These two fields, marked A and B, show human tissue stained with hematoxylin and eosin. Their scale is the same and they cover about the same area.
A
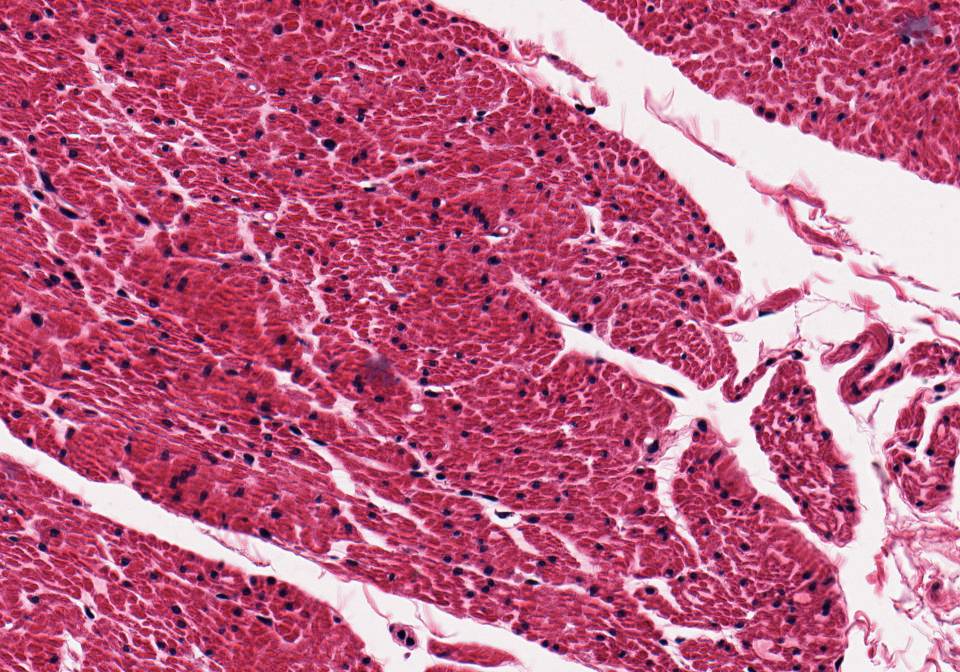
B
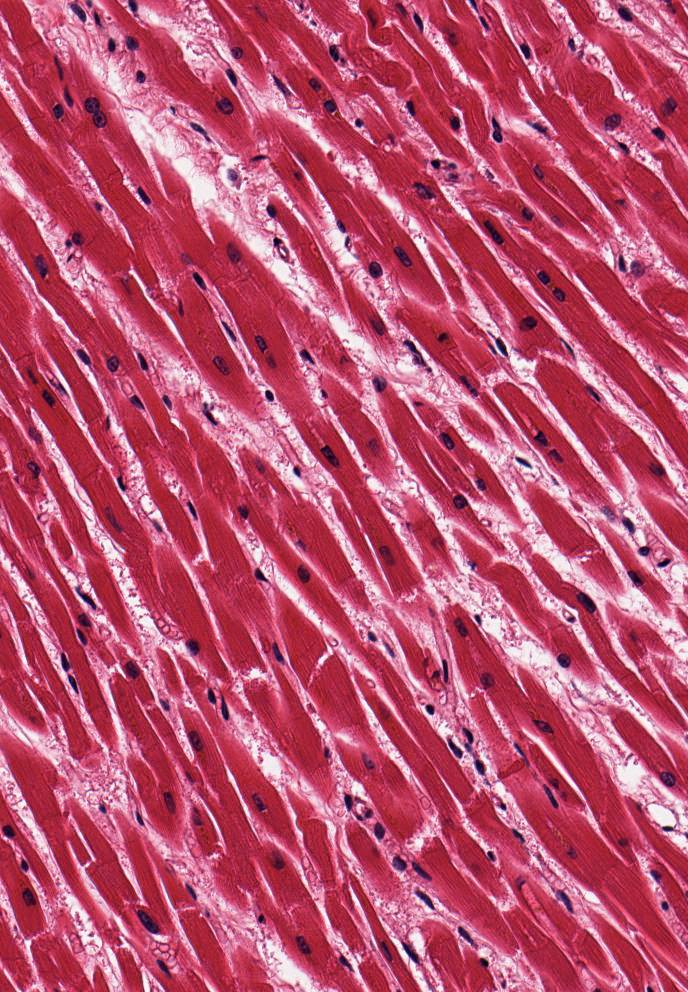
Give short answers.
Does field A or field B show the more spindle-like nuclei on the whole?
B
